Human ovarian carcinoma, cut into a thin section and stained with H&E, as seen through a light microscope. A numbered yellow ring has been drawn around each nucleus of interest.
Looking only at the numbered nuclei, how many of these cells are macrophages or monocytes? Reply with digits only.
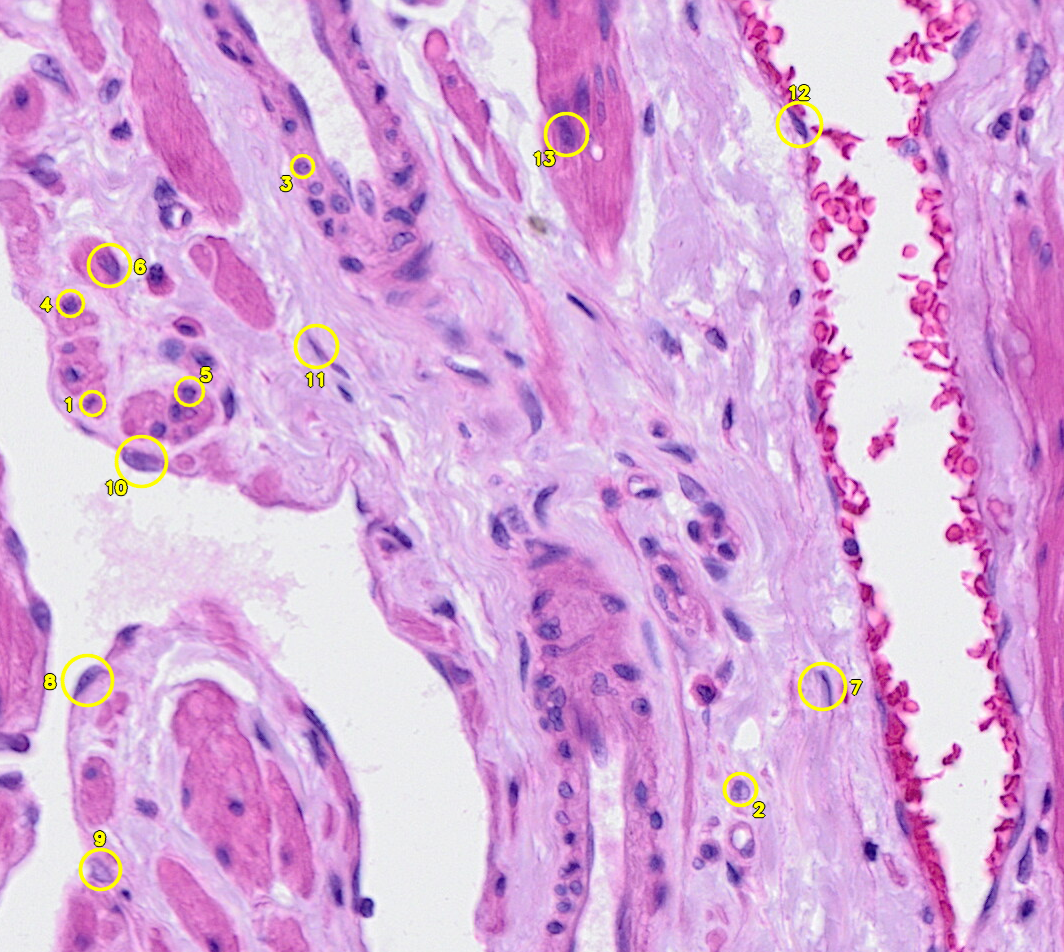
1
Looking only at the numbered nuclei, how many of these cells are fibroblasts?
2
